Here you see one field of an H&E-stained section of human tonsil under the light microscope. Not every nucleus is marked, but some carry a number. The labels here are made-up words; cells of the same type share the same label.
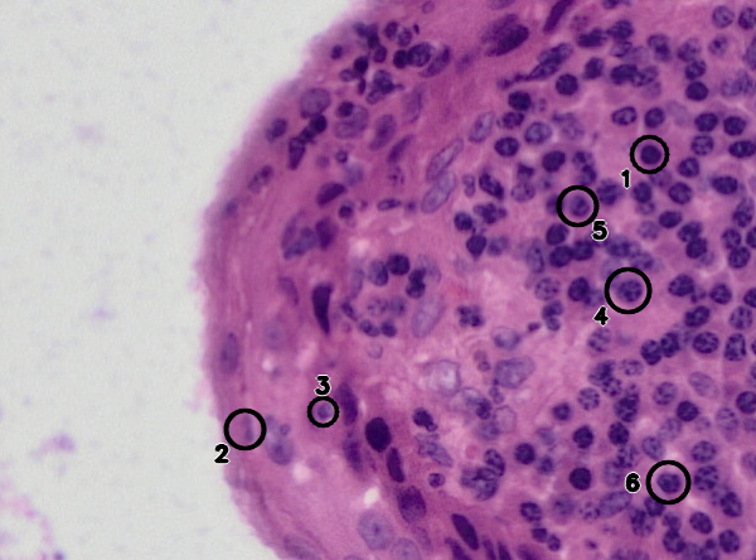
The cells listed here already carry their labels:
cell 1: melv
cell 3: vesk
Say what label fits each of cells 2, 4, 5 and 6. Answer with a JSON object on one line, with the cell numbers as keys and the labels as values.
{"2": "vesk", "4": "melv", "5": "melv", "6": "melv"}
